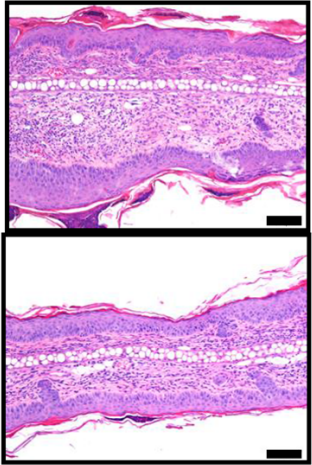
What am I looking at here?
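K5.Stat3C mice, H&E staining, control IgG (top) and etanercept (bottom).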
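Two cross-sections of ear skin, each with a central strip of pale, vacuolated cartilage cells flanked on both sides by dermis and a thickened, purple-staining stratified epidermis. The epidermis is many cell layers deep, with pink keratin at the surface, and the dermis is crowded with small dark nuclei. The upper section looks thicker overall, with a more cell-rich dermis, than the lower one.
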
